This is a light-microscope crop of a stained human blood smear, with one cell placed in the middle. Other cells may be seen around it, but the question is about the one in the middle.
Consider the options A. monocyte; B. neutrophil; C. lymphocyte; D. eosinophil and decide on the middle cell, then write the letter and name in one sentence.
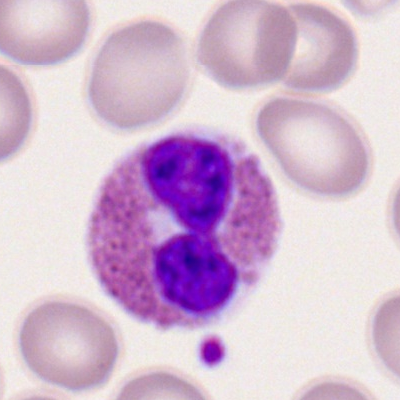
Option D is the correct option, with the middle cell being an eosinophil.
